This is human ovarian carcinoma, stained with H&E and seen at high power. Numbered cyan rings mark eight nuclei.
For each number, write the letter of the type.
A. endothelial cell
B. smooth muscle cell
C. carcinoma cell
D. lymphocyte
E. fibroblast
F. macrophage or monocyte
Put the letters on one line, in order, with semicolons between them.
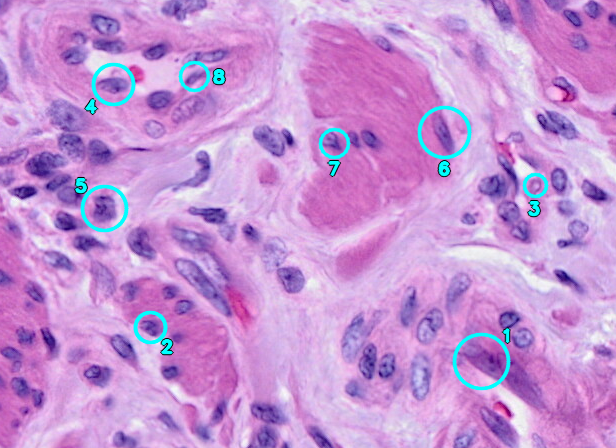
A; B; A; A; F; B; B; A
